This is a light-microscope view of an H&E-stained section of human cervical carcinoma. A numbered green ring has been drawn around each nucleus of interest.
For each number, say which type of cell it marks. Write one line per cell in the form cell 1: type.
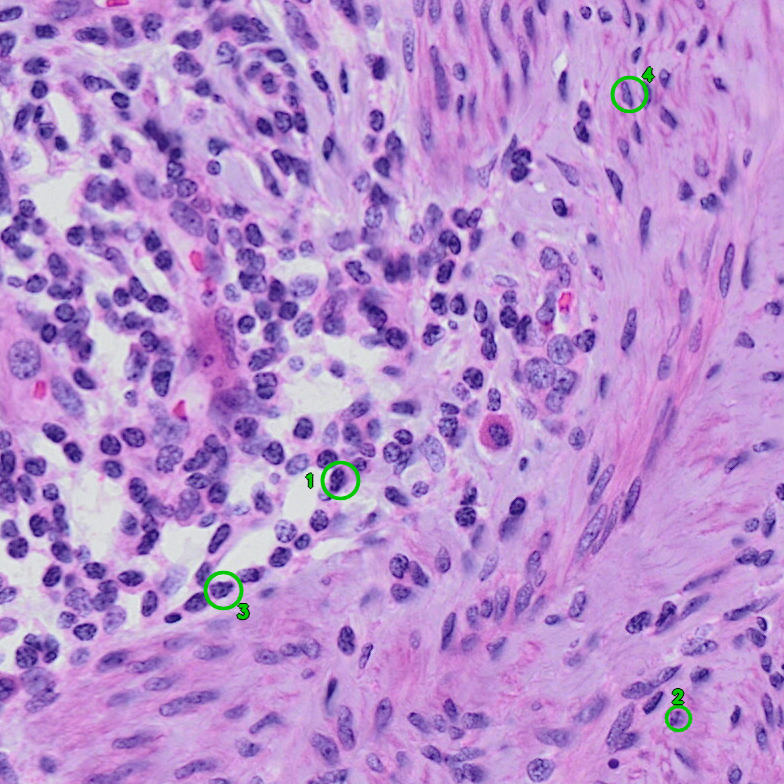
cell 1: lymphocyte
cell 2: smooth muscle cell
cell 3: lymphocyte
cell 4: smooth muscle cell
